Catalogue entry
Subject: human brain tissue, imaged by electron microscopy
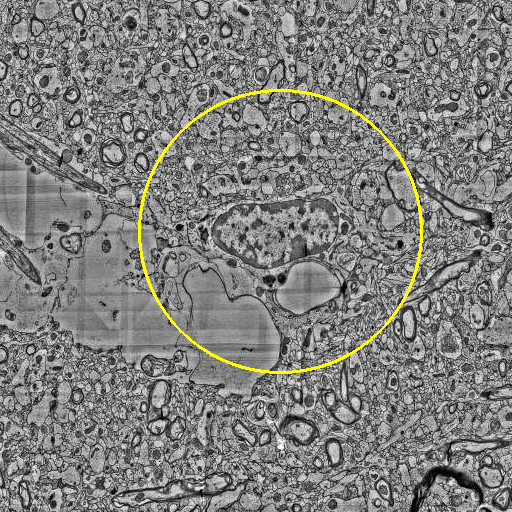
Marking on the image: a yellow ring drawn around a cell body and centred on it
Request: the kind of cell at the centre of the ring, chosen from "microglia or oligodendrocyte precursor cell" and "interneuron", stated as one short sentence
The ring has a microglial cell or oligodendrocyte precursor cell at its centre.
